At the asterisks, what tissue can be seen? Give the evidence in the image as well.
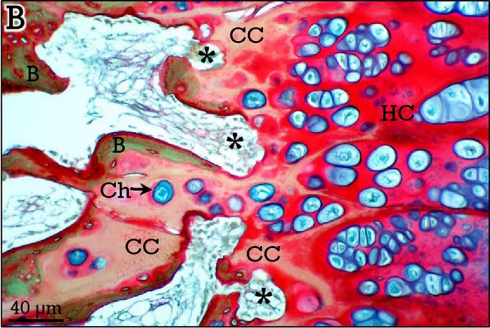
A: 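Asterisks lie in pale, loose fibrous spaces. These spaces push into the red cartilage matrix at the bone front. On this evidence: connective and vascular tissue.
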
